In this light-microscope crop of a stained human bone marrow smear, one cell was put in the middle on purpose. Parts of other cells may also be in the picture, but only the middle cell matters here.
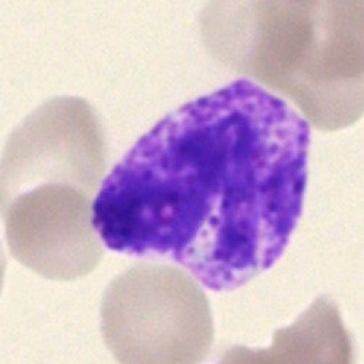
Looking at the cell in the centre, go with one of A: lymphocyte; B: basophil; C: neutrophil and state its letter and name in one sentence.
The cell centered in the crop is a basophil, making option B the correct pick.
